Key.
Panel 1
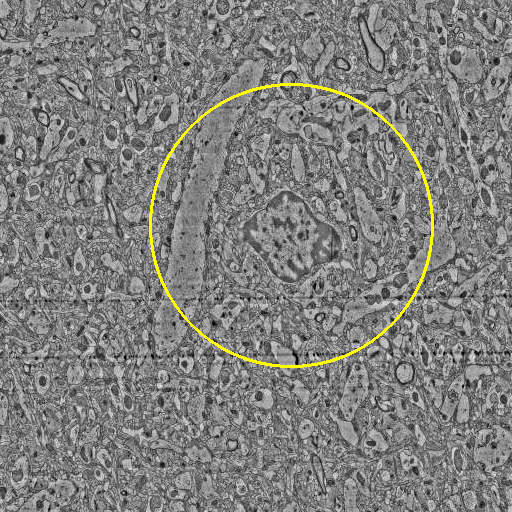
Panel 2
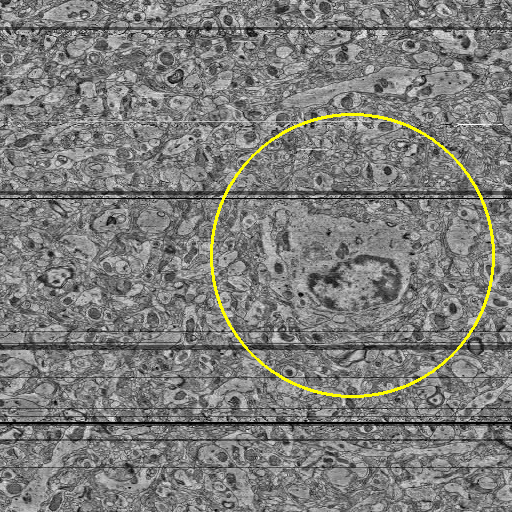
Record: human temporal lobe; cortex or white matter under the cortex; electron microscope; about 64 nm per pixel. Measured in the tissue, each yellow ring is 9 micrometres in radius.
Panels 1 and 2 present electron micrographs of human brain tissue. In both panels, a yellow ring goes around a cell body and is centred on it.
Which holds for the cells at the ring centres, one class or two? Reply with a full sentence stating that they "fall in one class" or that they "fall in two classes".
Taken together, the ring-centre cells of the two panels fall in two classes.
